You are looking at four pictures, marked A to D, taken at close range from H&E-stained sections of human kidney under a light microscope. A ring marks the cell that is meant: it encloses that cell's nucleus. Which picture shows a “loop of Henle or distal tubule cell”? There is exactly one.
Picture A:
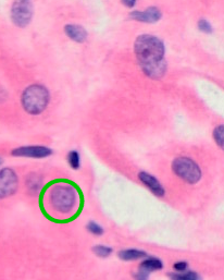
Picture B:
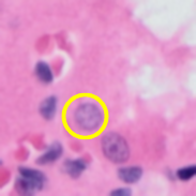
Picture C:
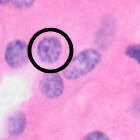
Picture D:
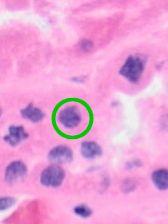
D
